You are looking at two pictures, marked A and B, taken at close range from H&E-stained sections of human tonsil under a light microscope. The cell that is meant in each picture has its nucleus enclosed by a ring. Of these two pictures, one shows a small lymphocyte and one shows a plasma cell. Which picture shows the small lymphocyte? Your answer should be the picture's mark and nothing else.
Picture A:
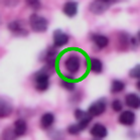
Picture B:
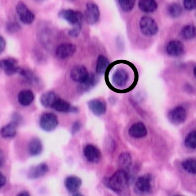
A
